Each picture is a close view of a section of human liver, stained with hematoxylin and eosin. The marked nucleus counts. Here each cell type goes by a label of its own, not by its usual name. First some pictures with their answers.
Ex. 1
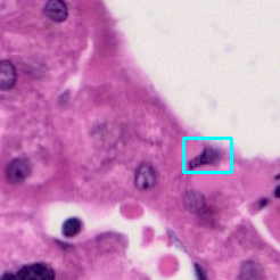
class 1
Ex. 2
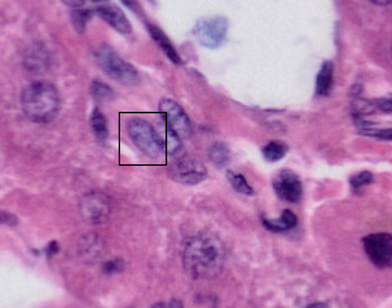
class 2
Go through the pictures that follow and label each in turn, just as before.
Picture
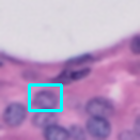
class 2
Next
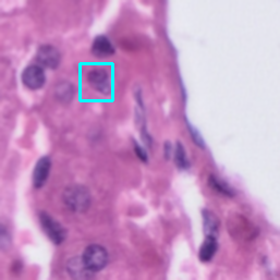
class 1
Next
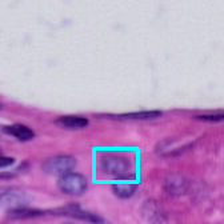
class 2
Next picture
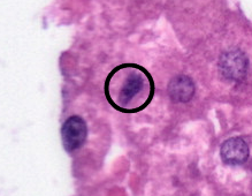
class 1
